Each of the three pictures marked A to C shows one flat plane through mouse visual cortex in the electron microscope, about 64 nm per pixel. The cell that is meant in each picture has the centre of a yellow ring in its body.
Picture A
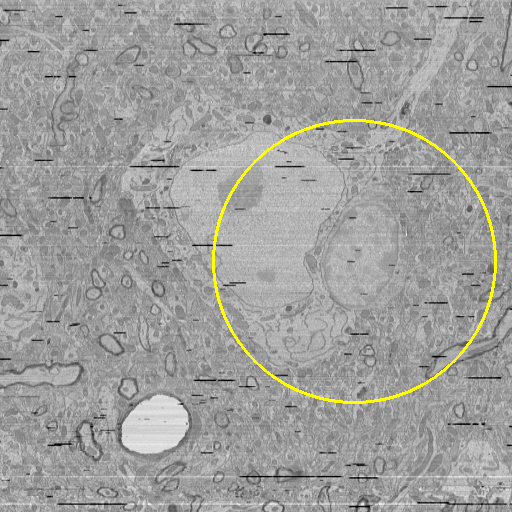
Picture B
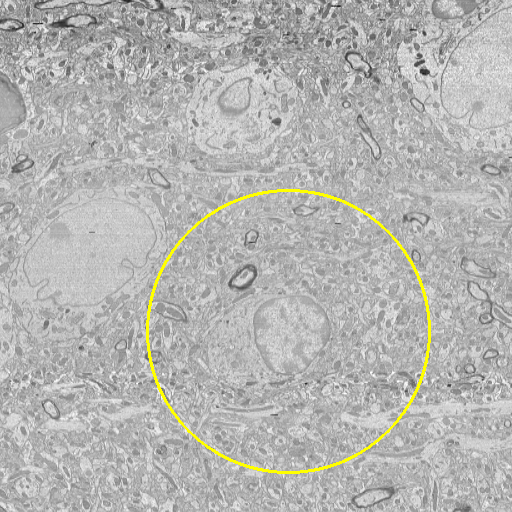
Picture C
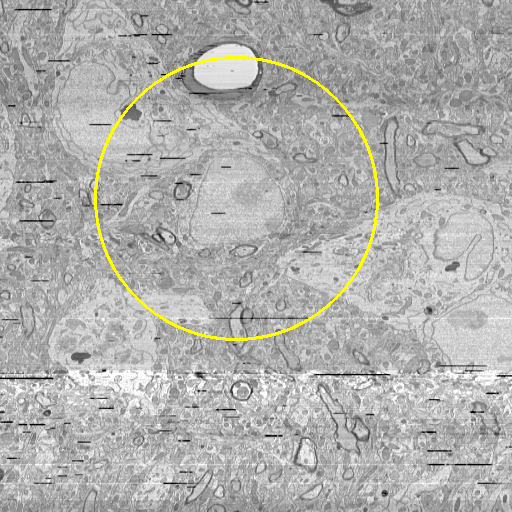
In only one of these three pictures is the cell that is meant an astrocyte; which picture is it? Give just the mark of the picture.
C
